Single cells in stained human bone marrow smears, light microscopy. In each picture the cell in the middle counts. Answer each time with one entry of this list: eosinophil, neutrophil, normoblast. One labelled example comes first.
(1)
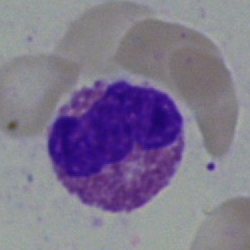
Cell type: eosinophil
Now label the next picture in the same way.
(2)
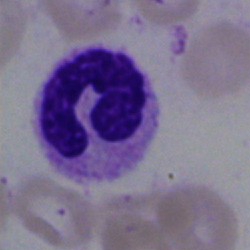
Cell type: neutrophil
